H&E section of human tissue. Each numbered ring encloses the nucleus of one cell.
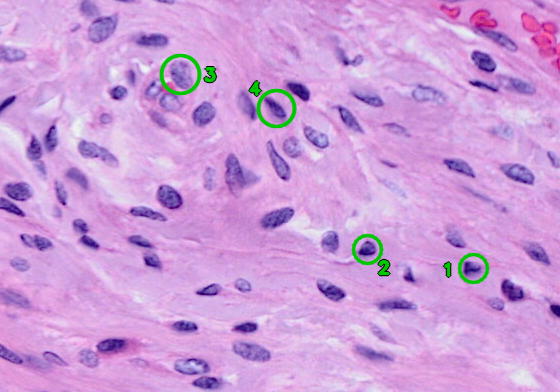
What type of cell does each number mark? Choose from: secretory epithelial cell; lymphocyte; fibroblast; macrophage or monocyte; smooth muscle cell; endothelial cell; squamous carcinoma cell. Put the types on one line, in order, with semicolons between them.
fibroblast; fibroblast; endothelial cell; fibroblast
